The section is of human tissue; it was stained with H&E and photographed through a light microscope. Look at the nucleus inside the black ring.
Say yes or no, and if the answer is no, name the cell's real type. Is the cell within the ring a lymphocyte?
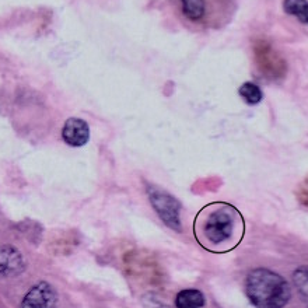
Yes.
